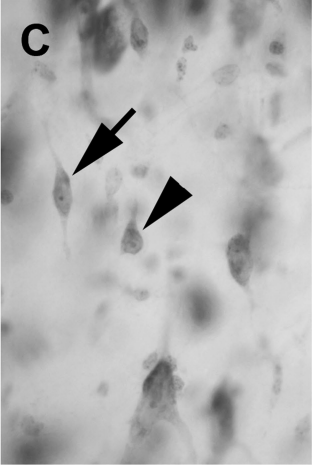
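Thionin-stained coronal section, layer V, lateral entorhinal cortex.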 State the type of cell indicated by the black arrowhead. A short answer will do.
Spheroidal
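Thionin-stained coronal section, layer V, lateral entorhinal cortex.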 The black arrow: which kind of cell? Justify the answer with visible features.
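The marked cell body is elongated and spindle-shaped. Thin processes leave its two opposite ends.
Answer: fusiform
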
